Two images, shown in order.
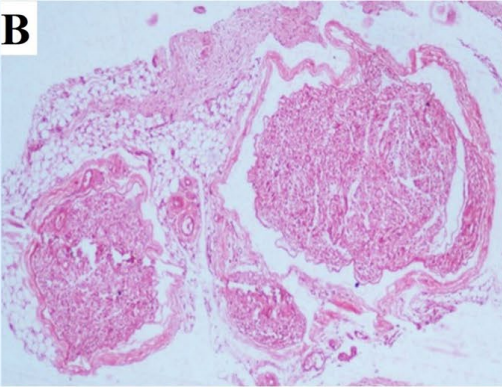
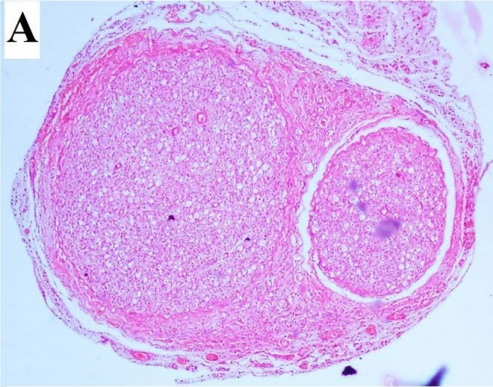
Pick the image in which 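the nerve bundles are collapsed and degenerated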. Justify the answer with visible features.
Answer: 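The first image. First image: the bundles are irregular in outline and their contents are loosened with clefts. Second image: the bundles are round and evenly packed with small circular profiles.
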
